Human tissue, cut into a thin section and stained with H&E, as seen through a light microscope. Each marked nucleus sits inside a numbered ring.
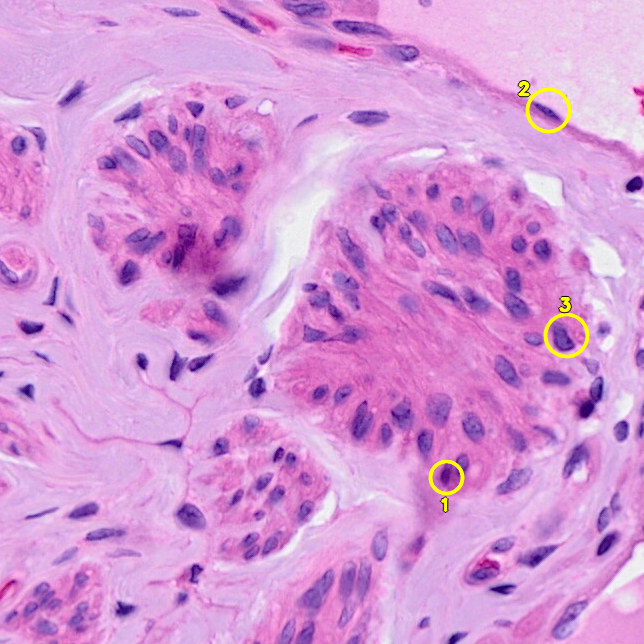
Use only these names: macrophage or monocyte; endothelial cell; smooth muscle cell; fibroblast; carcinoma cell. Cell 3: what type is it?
smooth muscle cell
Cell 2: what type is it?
endothelial cell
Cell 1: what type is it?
smooth muscle cell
